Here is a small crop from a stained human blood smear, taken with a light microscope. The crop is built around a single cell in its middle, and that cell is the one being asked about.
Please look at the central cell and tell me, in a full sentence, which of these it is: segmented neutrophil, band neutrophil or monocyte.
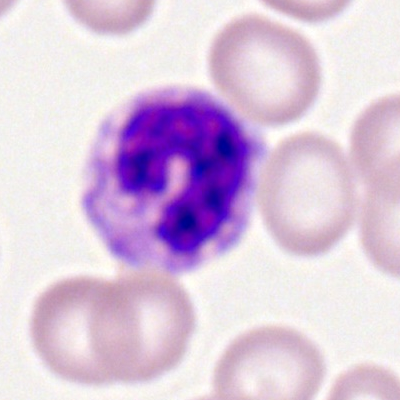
The cell of interest, located centrally, is a band neutrophil.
